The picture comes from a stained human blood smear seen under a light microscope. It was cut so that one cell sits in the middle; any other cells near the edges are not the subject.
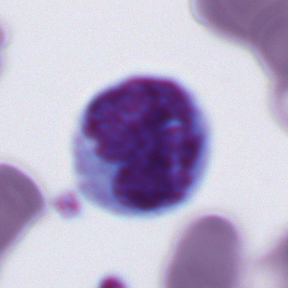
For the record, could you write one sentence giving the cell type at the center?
The target cell in the middle of the crop is a monocyte.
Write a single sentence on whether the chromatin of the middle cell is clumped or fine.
Thanks for asking; the chromatin is coarsely clumped.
